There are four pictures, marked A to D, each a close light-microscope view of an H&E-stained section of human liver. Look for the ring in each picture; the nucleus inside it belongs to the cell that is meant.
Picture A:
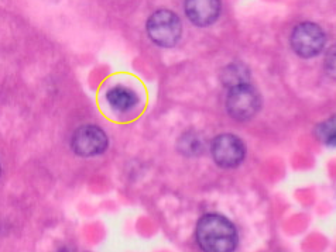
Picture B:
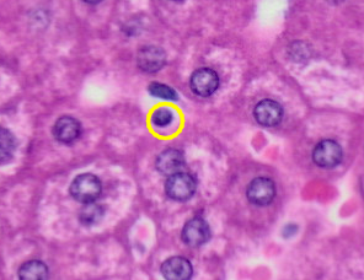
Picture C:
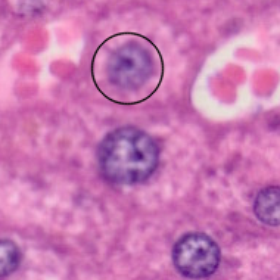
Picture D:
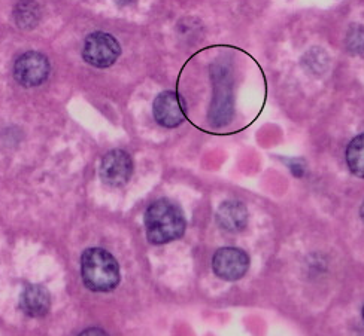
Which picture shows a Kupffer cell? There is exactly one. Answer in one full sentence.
Picture D is the one that shows the Kupffer cell.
